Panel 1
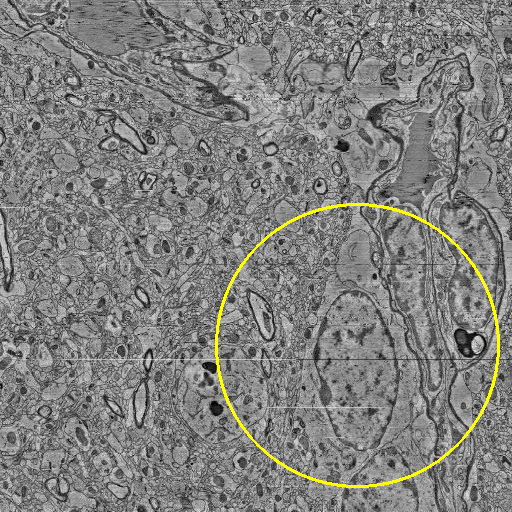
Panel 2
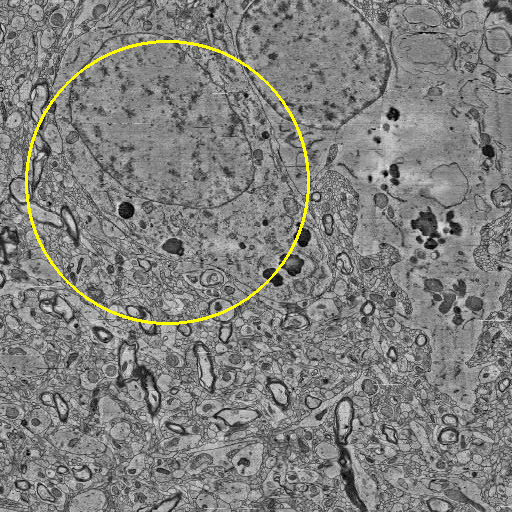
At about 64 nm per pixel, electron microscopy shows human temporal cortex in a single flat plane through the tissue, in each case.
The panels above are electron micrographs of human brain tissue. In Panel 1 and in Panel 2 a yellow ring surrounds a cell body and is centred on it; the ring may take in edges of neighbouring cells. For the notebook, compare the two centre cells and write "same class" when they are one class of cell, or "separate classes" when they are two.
separate classes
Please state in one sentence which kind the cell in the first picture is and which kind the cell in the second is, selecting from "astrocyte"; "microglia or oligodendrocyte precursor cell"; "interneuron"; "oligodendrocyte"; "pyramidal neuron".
The first ringed cell is a microglial cell or oligodendrocyte precursor cell, the second ringed cell a pyramidal neuron.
